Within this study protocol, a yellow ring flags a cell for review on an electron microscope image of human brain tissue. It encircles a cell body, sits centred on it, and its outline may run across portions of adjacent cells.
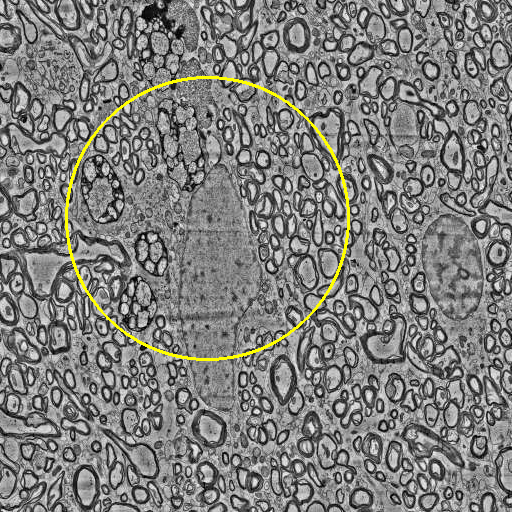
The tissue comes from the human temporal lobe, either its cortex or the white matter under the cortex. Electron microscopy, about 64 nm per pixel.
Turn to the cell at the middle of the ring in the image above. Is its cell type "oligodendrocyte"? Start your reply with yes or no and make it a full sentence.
No, the cell at the ring's centre in the image above has another cell type.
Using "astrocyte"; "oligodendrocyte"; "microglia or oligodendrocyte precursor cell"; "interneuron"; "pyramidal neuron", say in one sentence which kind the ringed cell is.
The ringed cell in this picture is, instead, an astrocyte.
